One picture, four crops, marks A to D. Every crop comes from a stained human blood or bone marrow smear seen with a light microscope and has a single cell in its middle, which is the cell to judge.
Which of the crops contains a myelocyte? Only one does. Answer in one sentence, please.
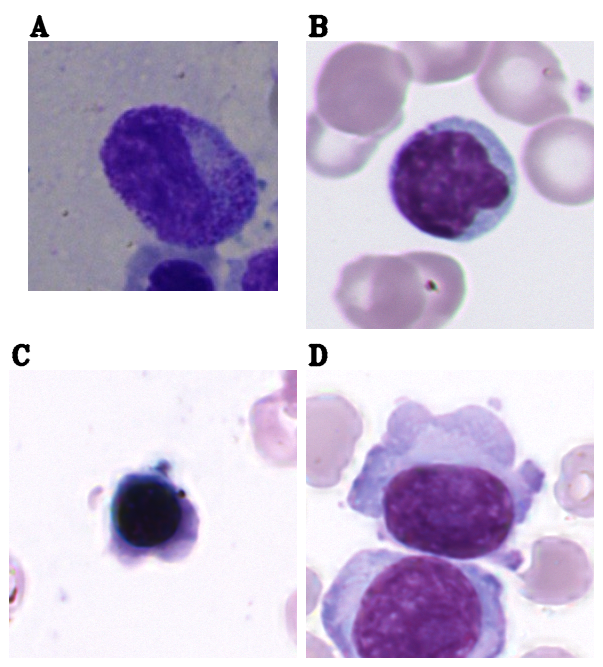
The crop with a myelocyte in it is crop A.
